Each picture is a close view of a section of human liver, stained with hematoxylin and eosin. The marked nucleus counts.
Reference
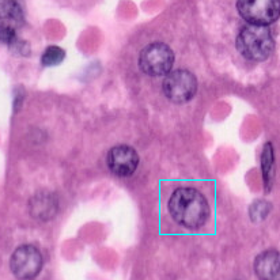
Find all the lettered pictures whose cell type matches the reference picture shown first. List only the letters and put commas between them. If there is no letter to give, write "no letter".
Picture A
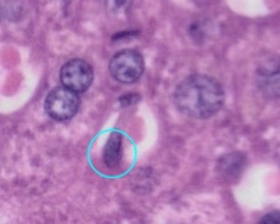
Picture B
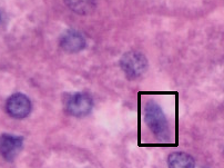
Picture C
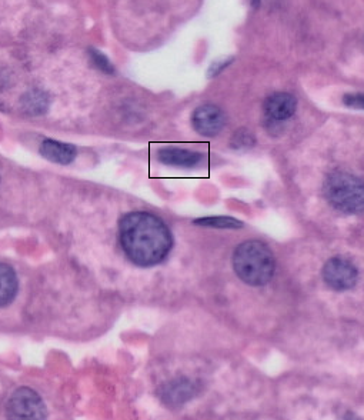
no letter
